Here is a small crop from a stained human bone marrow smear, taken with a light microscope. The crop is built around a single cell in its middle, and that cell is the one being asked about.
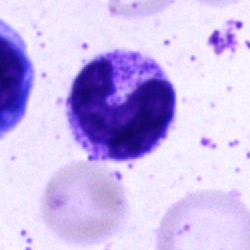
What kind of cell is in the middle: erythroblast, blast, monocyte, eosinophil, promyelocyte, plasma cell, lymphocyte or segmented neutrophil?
segmented neutrophil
